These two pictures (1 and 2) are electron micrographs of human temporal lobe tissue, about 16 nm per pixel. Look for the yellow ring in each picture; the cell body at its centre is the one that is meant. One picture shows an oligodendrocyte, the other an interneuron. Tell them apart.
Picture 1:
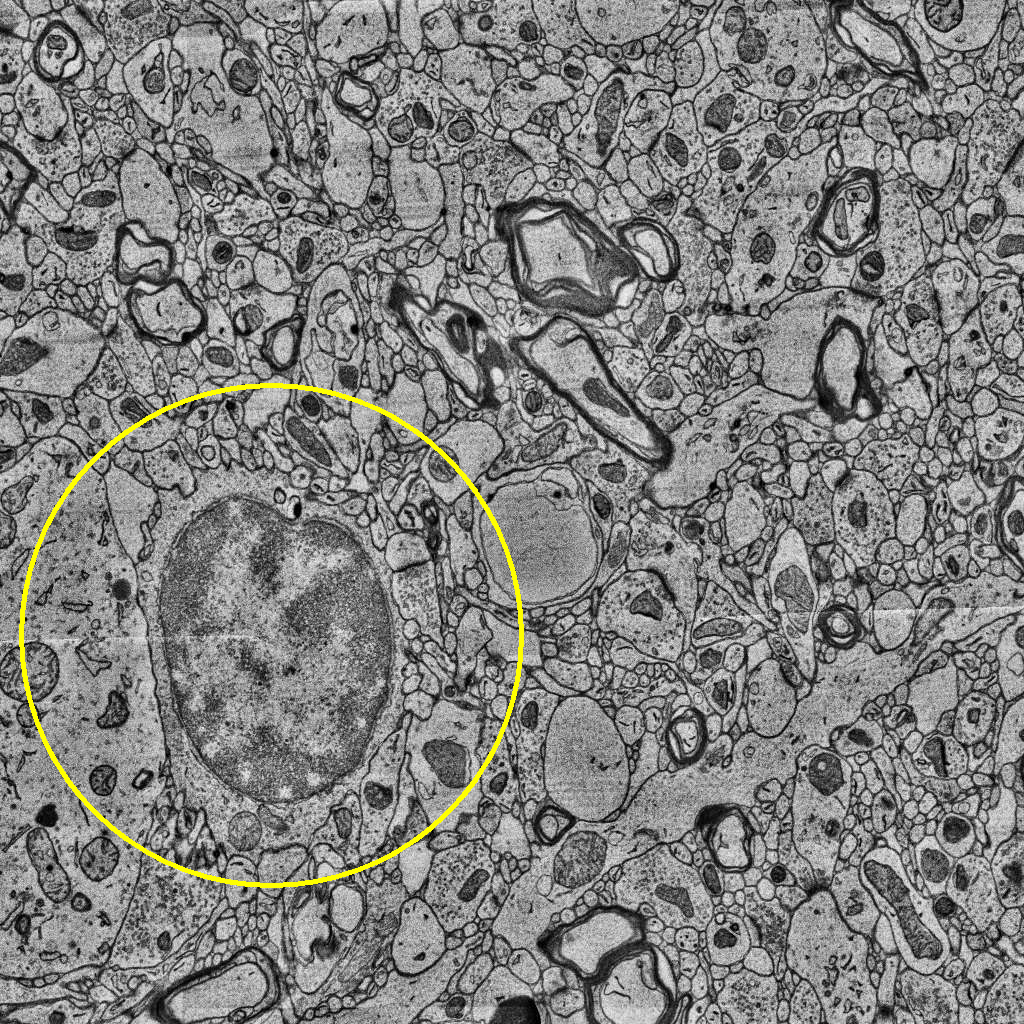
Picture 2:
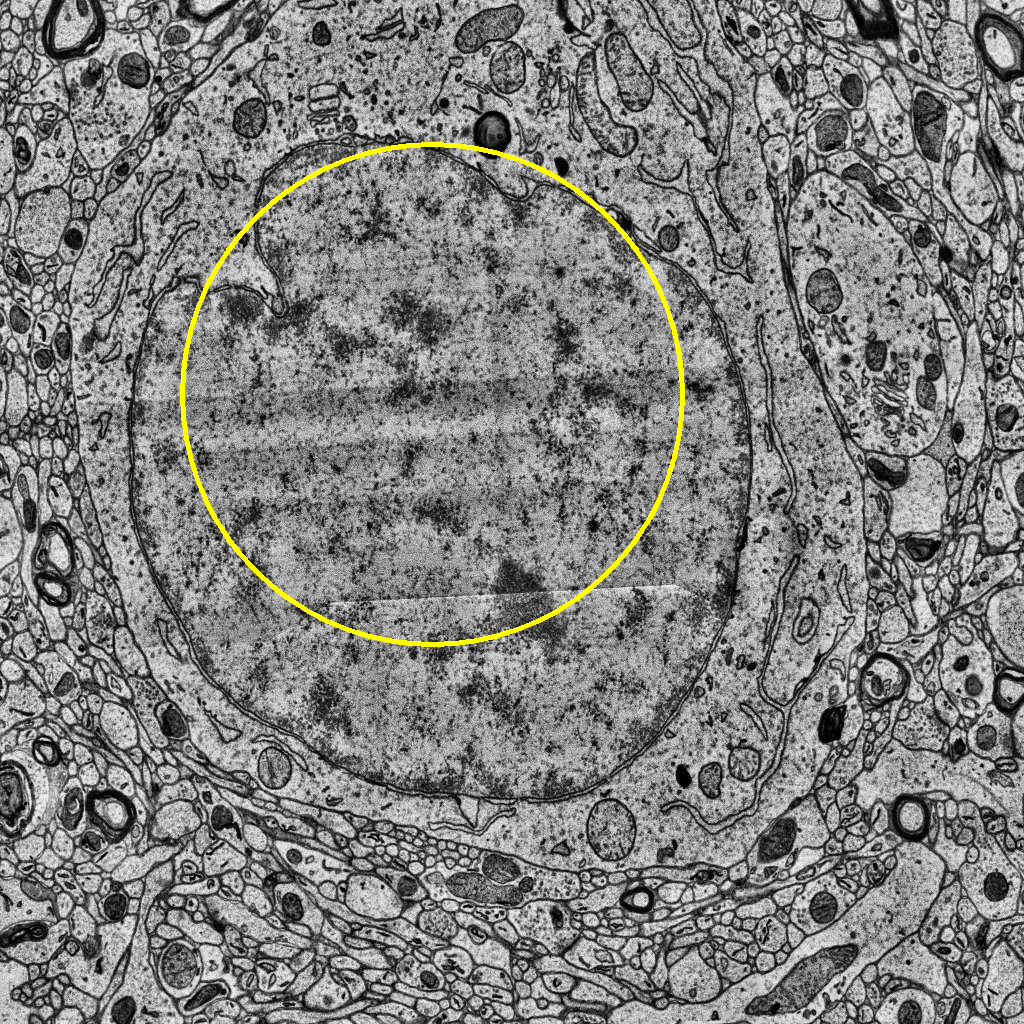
Picture 2 shows an interneuron, while picture 1 shows an oligodendrocyte.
